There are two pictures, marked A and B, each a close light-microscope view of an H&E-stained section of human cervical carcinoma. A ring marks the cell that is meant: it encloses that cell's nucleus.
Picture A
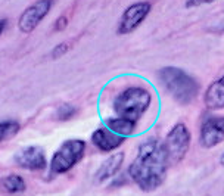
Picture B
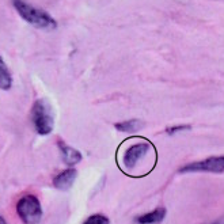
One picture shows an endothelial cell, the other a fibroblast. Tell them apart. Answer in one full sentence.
Picture A is of an endothelial cell, and picture B is of a fibroblast.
